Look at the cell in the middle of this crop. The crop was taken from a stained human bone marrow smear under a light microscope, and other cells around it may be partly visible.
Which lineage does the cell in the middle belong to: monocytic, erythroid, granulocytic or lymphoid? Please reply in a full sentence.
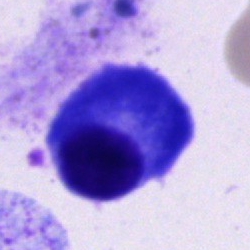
It is the lymphoid lineage to which the central cell belongs.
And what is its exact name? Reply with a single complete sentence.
The single cell at the center of the crop is a plasma cell.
